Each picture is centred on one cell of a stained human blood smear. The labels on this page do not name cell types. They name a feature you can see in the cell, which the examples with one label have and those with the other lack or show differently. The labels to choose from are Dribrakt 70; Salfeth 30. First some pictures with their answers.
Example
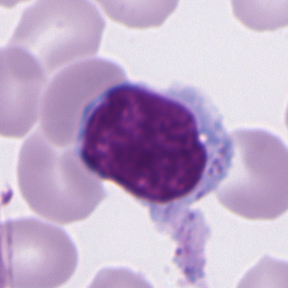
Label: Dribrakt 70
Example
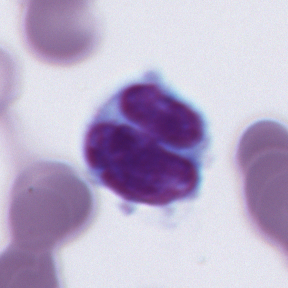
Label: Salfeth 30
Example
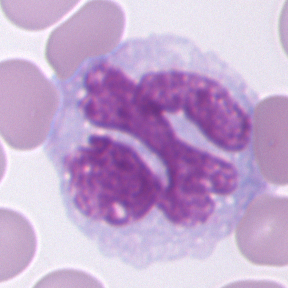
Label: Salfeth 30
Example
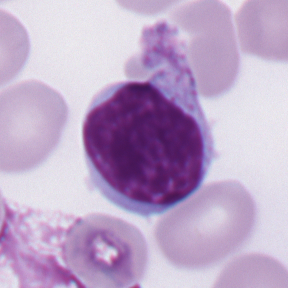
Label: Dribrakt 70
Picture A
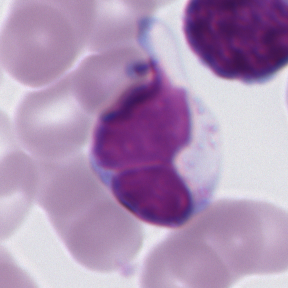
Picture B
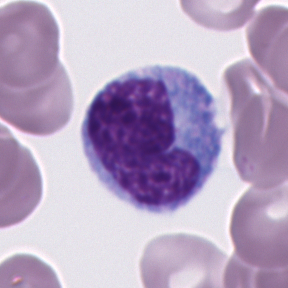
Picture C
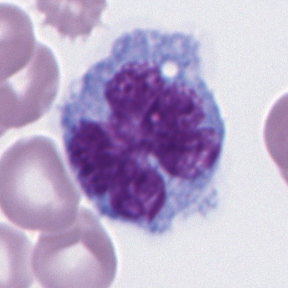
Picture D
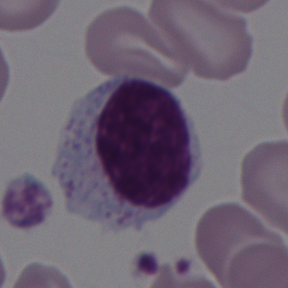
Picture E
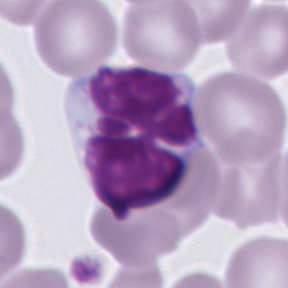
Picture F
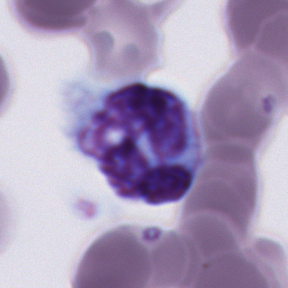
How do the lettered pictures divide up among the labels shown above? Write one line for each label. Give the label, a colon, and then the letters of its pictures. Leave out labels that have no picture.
Dribrakt 70: B, D
Salfeth 30: A, C, E, F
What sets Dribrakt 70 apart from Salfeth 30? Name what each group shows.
Seen in Dribrakt 70: single compact nucleus; seen in Salfeth 30: lobed nucleus.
